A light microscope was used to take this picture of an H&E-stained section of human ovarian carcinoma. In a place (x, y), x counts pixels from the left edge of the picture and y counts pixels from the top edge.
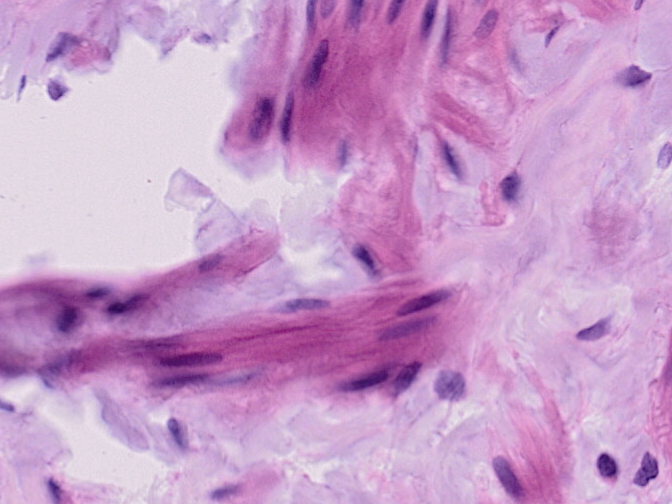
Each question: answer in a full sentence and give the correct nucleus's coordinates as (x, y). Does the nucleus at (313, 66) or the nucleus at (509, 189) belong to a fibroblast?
The one nucleus of the two that belongs to a fibroblast is at (509, 189).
